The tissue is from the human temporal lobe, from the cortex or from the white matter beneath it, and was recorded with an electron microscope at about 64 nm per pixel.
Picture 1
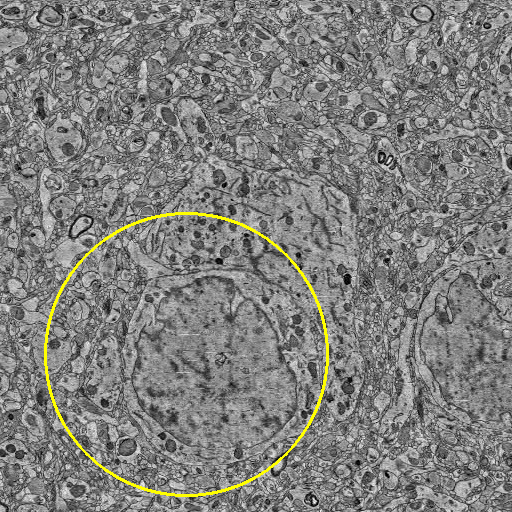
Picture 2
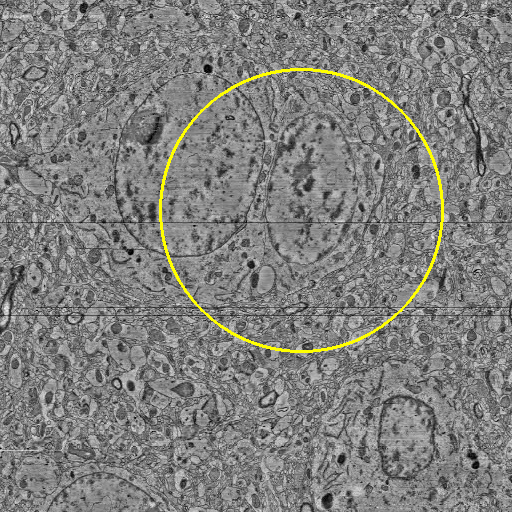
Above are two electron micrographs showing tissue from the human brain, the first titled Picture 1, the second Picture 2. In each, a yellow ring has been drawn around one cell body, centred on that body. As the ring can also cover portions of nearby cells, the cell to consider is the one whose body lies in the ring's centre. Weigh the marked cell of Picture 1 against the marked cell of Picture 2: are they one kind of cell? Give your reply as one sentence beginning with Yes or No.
Yes, the two cells sitting at the ring centres in the pictures are of one kind.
